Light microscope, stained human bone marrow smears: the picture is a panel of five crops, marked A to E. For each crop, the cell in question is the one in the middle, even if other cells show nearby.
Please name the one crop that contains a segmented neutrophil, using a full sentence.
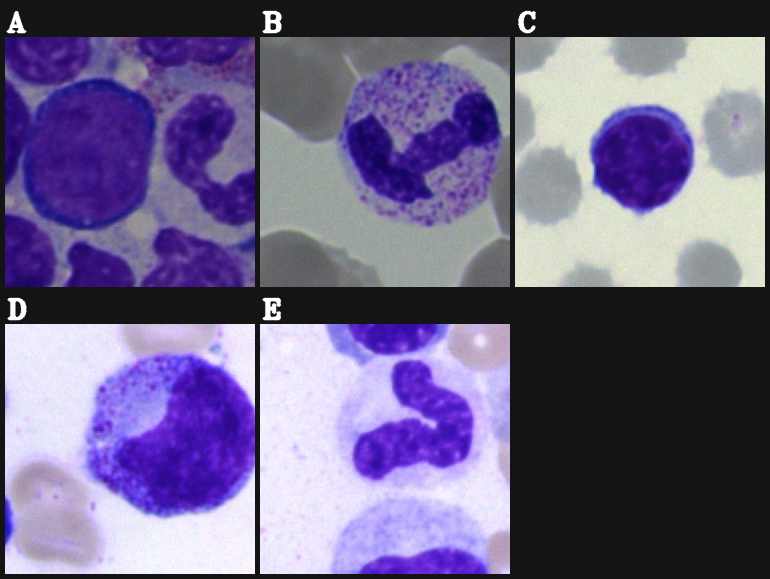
The one showing a segmented neutrophil is the crop labelled B.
